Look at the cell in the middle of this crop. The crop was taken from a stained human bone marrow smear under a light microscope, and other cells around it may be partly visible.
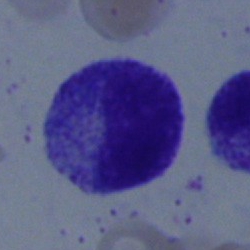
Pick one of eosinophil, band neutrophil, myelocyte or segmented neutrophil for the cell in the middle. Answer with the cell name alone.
myelocyte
